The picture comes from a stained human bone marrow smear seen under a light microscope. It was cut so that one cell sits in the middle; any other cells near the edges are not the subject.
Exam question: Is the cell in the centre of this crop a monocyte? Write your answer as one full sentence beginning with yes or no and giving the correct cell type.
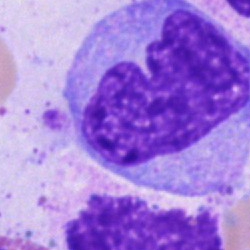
Yes, as regards the cell in the middle, it is a monocyte.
